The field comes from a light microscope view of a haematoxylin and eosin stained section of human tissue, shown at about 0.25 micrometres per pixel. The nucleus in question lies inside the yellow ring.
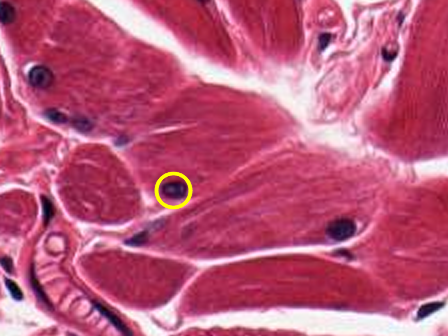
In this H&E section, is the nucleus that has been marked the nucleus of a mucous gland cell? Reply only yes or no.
no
